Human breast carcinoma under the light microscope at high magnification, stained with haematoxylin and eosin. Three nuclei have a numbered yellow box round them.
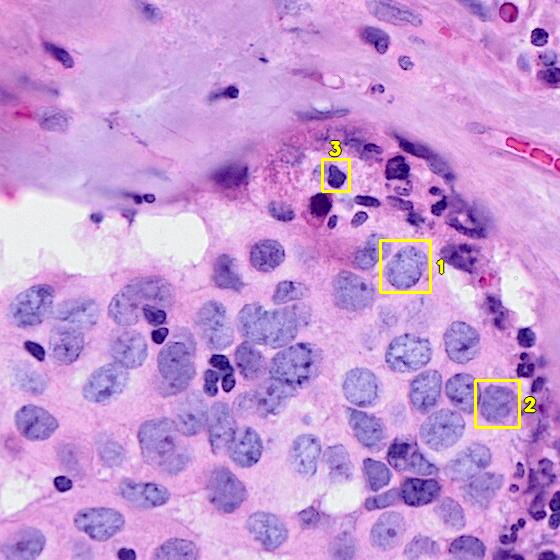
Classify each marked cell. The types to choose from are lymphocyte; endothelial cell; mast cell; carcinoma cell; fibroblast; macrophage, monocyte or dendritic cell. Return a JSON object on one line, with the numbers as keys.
{"1": "carcinoma cell", "2": "carcinoma cell", "3": "lymphocyte"}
